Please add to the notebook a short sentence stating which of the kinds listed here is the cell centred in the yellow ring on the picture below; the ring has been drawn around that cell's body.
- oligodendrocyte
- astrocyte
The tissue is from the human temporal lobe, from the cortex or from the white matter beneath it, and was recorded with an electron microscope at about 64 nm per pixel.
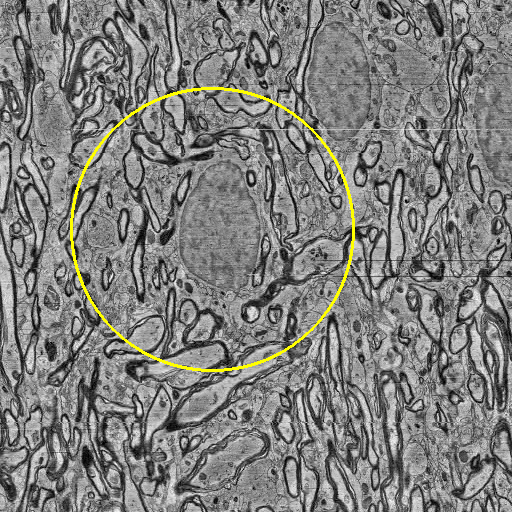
The cell centred in the yellow ring is an oligodendrocyte.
